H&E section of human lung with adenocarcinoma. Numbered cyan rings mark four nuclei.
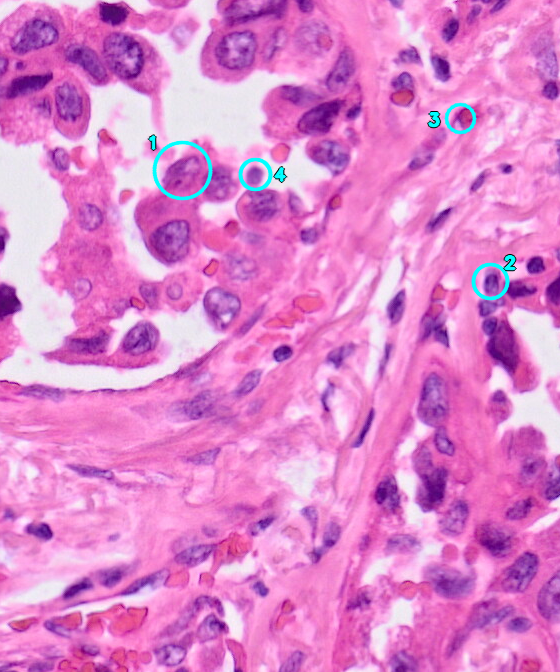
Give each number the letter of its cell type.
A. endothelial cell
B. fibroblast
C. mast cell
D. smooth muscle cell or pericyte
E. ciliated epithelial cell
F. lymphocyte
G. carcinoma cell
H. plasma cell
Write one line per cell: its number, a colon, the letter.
1: G
2: F
3: A
4: F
